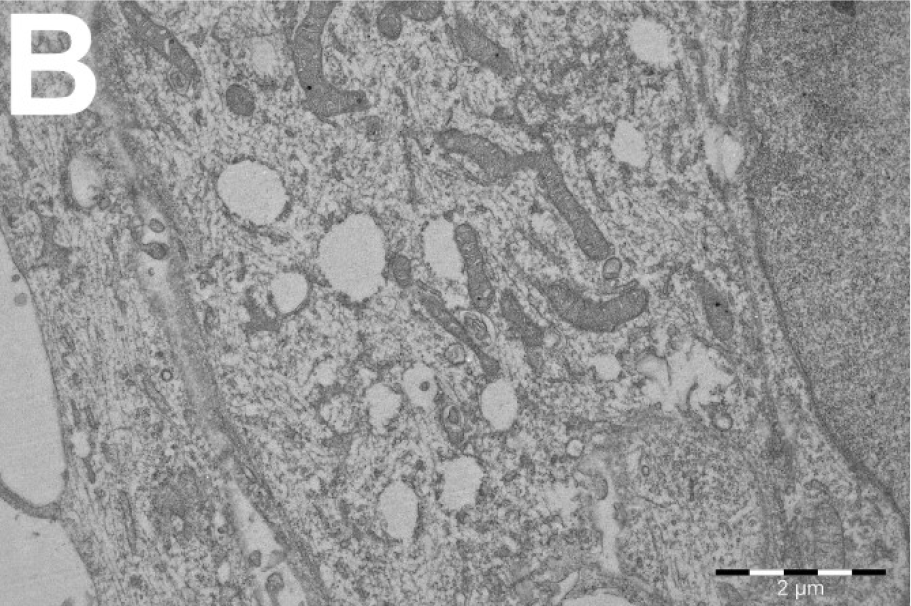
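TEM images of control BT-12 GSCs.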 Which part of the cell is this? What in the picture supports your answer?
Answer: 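Empty vesicles. Many round, pale, electron-lucent profiles are scattered through the cytoplasm.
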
